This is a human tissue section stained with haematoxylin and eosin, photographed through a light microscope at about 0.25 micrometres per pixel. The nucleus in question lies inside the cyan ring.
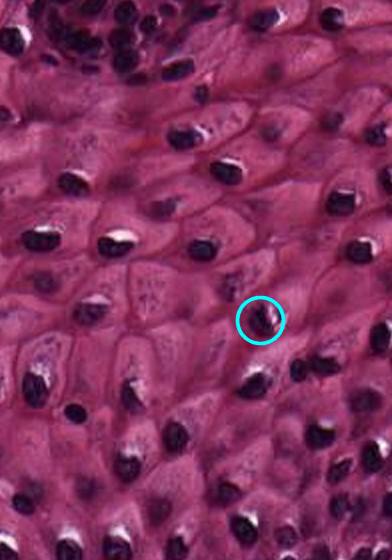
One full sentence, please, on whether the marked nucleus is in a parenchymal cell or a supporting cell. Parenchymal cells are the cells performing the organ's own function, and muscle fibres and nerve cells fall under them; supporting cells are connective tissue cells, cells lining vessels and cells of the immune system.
The marked nucleus belongs to a parenchymal cell, namely a squamous epithelial cell.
